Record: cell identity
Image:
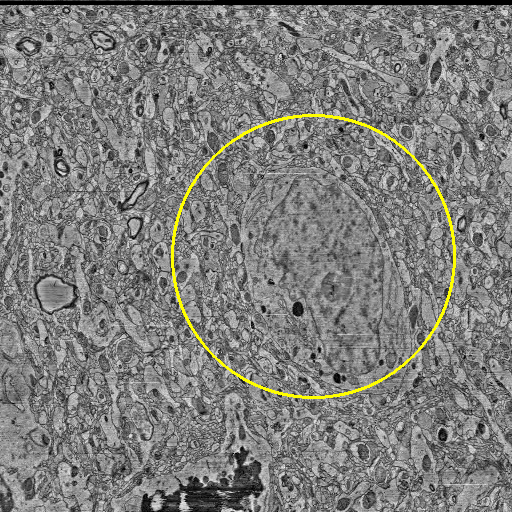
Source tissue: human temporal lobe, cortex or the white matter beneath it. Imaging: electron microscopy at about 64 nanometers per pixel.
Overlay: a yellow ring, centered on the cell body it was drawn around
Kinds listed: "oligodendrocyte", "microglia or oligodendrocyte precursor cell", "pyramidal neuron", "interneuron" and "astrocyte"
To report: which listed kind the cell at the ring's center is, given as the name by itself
interneuron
